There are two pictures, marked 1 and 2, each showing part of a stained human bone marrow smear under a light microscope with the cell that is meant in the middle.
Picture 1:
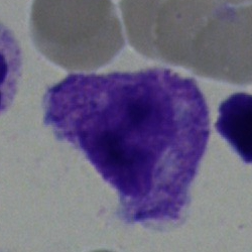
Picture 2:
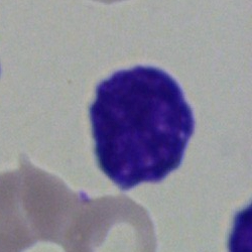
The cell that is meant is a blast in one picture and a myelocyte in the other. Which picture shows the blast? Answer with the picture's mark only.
2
